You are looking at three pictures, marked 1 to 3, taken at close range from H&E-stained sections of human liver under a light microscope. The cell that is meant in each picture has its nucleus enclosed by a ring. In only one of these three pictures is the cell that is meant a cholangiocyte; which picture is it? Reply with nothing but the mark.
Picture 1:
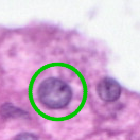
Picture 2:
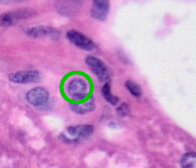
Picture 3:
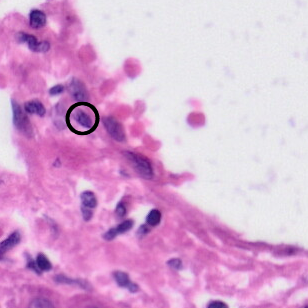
2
